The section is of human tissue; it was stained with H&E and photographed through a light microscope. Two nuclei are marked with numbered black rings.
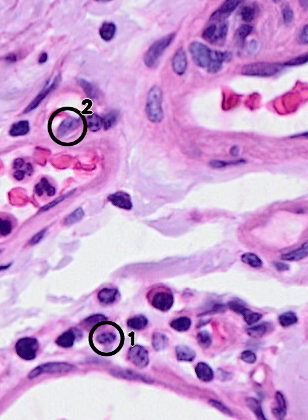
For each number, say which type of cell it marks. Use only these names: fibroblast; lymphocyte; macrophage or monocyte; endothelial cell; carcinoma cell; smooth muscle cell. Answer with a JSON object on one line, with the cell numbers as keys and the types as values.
{"1": "lymphocyte", "2": "endothelial cell"}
